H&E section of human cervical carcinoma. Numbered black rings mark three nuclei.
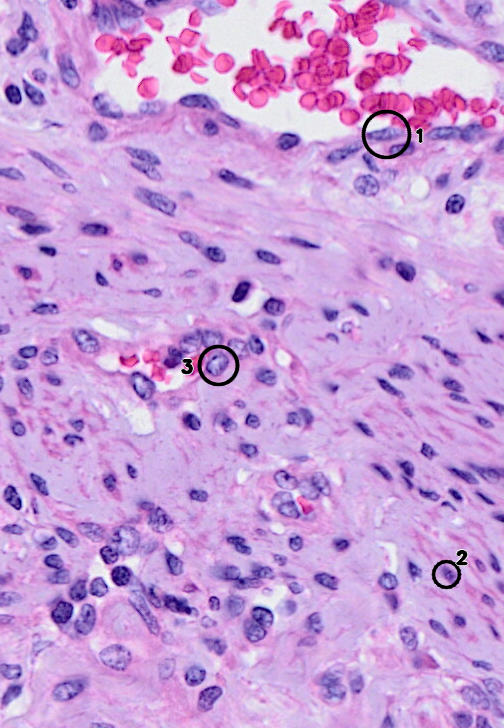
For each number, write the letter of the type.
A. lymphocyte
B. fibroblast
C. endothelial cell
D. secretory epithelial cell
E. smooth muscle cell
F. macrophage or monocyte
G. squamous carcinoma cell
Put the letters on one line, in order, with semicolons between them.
C; E; C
